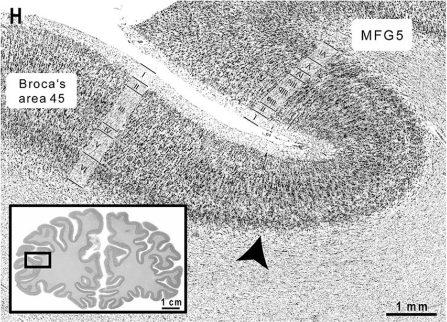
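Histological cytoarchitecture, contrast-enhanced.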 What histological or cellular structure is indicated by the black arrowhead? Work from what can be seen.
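The cortical borders. The arrowhead points to the cortical ribbon where its layering changes. The cortex on one side shows a less sharp boundary with the pale underlying white matter.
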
